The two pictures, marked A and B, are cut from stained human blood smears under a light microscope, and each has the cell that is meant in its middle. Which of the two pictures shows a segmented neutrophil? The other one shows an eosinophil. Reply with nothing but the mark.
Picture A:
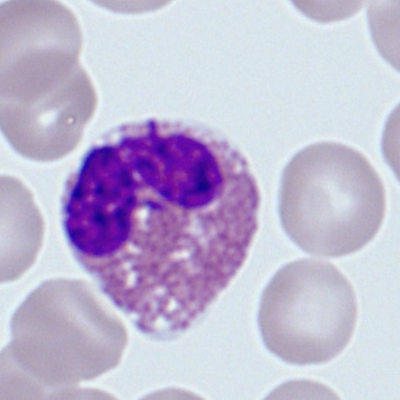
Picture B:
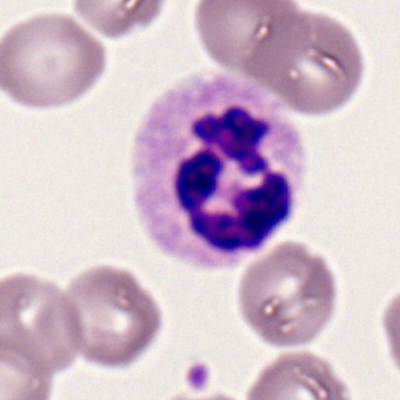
B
